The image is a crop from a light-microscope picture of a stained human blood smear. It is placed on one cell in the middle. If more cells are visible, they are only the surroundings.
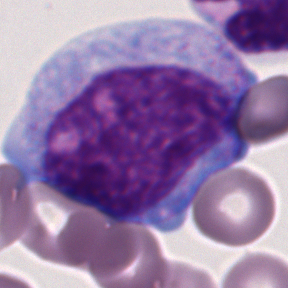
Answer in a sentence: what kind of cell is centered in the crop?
The cell nearest the centre of this crop is a promyelocyte.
